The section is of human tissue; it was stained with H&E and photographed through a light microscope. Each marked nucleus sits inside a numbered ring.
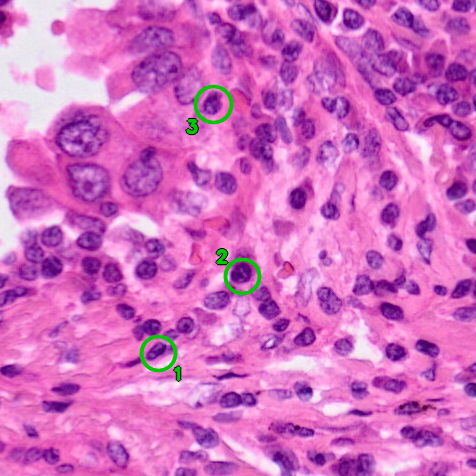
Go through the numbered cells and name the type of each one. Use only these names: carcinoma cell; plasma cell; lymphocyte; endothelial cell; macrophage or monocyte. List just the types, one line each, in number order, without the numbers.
lymphocyte
plasma cell
lymphocyte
